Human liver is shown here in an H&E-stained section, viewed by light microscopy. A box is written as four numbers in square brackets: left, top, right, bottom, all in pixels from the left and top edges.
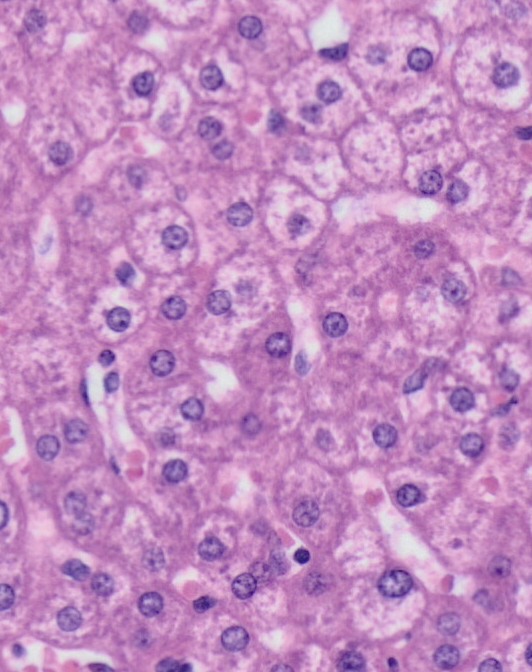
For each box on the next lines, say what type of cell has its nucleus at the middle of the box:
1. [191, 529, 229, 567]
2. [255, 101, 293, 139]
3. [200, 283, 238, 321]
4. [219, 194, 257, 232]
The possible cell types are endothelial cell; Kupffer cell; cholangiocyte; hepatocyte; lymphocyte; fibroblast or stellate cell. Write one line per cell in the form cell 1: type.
cell 1: hepatocyte
cell 2: endothelial cell
cell 3: hepatocyte
cell 4: hepatocyte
